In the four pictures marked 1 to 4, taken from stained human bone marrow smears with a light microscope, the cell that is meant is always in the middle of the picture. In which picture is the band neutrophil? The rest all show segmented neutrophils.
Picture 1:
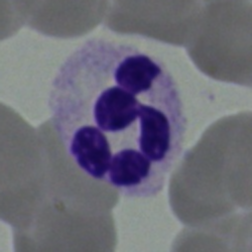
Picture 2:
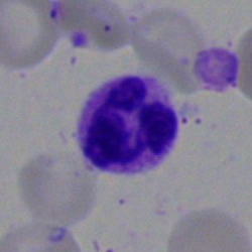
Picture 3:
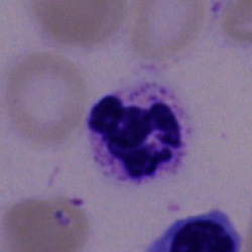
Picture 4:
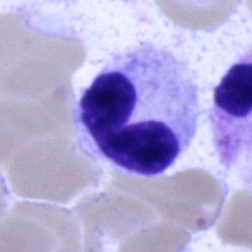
4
